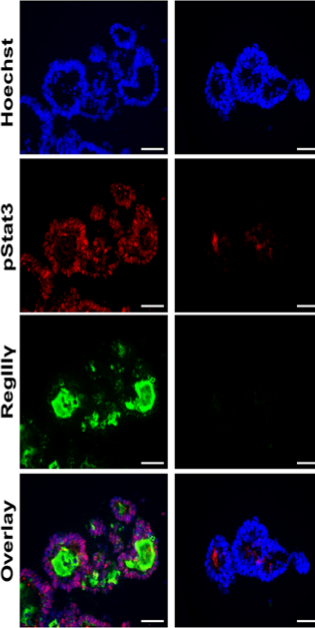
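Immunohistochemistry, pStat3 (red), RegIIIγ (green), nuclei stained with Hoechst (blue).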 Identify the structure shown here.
Organoids.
